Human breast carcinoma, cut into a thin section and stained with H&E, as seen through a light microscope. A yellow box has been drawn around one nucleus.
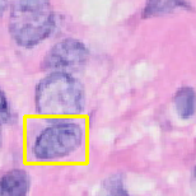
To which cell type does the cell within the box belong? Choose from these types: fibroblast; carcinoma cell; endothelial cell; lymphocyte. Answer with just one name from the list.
carcinoma cell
